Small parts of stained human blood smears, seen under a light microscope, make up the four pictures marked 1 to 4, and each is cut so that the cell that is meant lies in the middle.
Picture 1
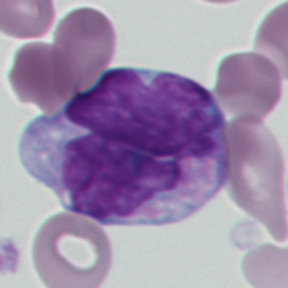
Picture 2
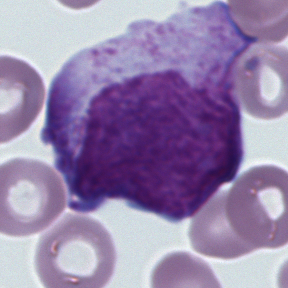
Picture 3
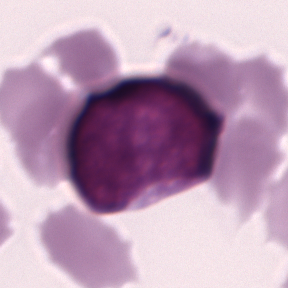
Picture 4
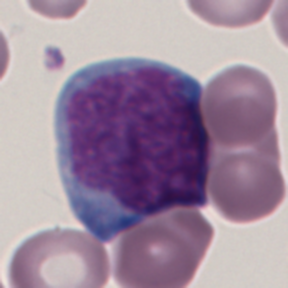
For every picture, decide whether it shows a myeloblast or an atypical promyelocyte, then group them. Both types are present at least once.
1: atypical promyelocyte
2: atypical promyelocyte
3: myeloblast
4: myeloblast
